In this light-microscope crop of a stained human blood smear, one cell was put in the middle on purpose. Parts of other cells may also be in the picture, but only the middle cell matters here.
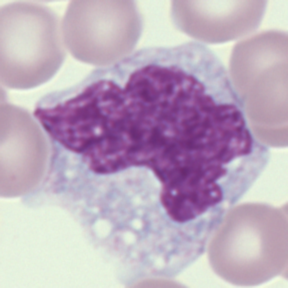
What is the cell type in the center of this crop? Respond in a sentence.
In the centre of this crop there is a monocyte.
